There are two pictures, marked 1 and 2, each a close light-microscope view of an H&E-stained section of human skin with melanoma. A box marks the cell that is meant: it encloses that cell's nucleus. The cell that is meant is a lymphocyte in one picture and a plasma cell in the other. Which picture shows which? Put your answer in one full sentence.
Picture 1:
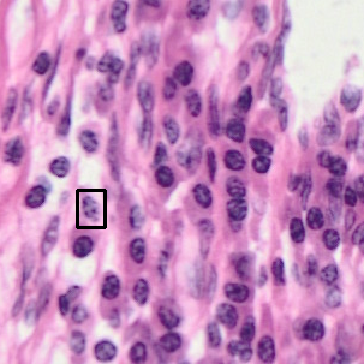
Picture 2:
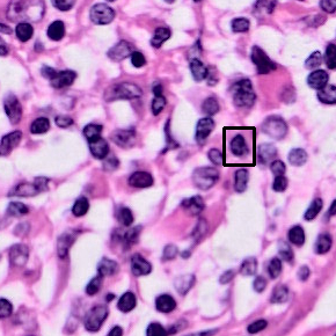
In picture 1 the cell is a plasma cell; in picture 2, a lymphocyte.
